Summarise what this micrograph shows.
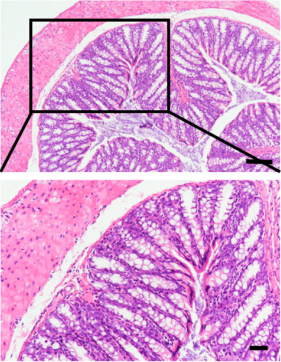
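This is a cross-section of colon wall with pink smooth muscle on the outside and mucosa folded inward. The mucosa is made of tightly packed, straight crypts lined by columnar epithelium rich in pale, empty-looking goblet cells.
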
